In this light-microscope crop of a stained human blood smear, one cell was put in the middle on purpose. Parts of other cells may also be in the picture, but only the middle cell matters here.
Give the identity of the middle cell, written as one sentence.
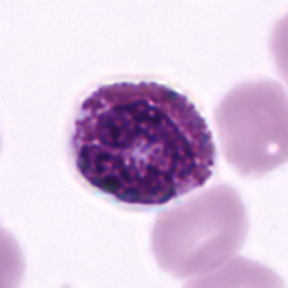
The cell at the heart of this crop is an eosinophil.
